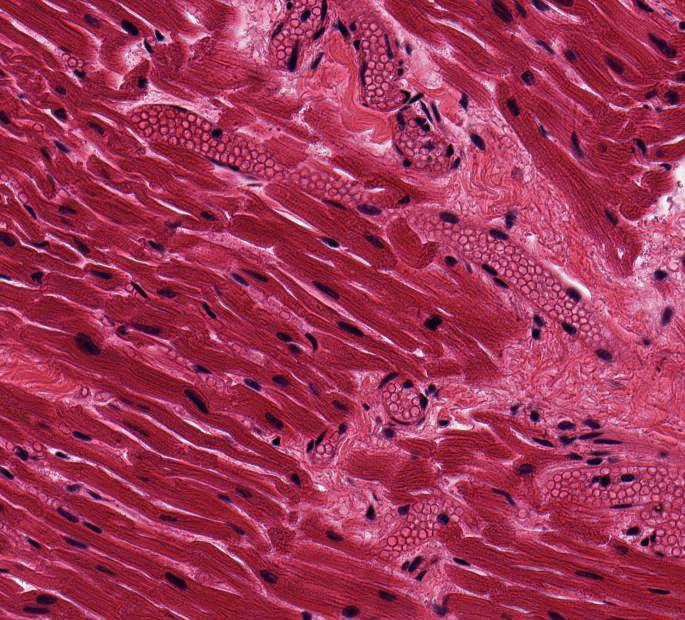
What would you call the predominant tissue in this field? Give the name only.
myocardium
